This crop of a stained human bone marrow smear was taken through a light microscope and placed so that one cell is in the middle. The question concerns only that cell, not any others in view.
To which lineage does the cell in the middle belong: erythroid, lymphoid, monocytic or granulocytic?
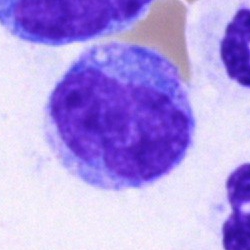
monocytic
